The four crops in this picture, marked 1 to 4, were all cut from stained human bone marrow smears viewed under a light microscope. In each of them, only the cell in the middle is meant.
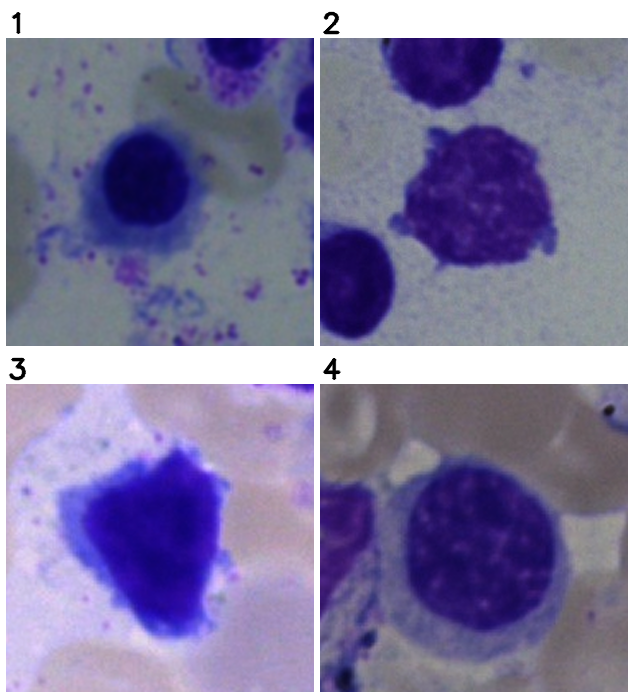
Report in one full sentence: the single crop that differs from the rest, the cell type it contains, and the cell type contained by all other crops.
Crop 1 is different, showing an erythroblast, whereas all the others show lymphocytes.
